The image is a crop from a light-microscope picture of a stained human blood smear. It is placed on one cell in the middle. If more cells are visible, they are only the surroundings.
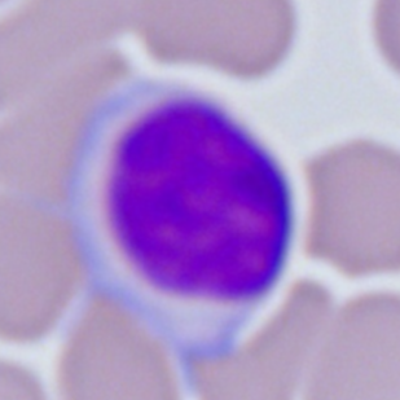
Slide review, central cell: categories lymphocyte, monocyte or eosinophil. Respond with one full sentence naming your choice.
At the crop's centre, the cell is a lymphocyte.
